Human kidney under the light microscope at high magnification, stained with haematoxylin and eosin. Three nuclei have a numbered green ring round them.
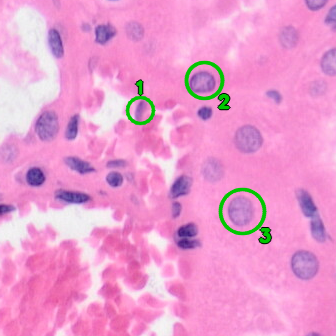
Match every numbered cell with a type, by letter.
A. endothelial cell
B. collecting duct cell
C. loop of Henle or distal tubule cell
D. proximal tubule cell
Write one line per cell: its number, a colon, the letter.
1: A
2: D
3: D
